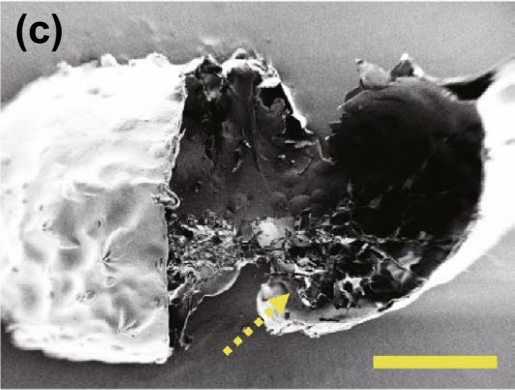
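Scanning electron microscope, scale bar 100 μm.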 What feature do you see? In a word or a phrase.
core-shell microcapsules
